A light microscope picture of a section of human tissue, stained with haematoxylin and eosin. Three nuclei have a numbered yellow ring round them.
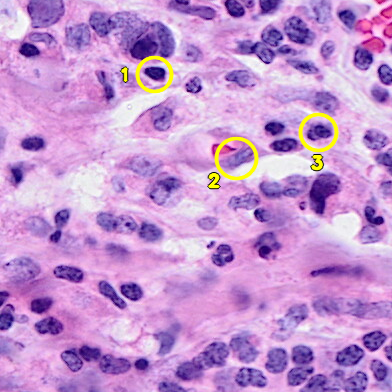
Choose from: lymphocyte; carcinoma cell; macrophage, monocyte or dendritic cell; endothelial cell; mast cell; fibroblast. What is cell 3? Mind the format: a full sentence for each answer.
The one labeled 3 is a lymphocyte, to put it simply.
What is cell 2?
The marked nucleus 2 is that of an endothelial cell.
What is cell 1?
Heads up, the cell numbered 1 is a lymphocyte.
